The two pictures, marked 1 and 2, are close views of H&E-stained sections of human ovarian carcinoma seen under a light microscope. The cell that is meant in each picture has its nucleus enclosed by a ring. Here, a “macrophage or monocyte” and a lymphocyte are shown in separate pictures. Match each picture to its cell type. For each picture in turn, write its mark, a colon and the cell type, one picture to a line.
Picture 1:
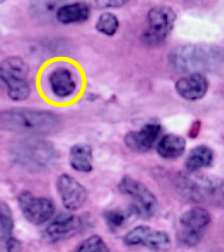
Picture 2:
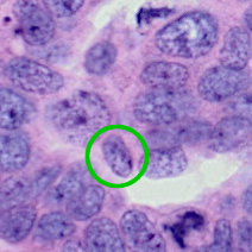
1: lymphocyte
2: macrophage or monocyte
